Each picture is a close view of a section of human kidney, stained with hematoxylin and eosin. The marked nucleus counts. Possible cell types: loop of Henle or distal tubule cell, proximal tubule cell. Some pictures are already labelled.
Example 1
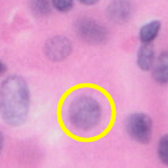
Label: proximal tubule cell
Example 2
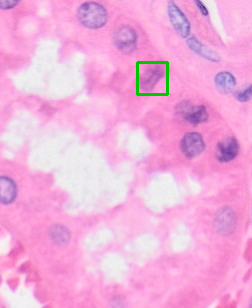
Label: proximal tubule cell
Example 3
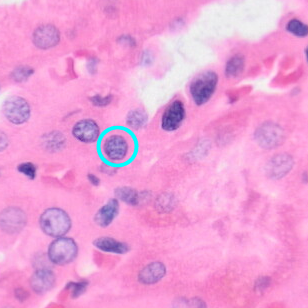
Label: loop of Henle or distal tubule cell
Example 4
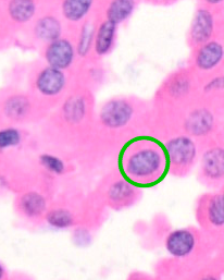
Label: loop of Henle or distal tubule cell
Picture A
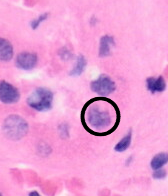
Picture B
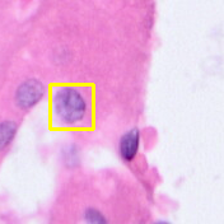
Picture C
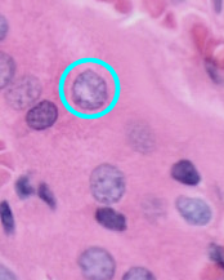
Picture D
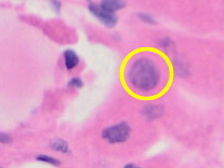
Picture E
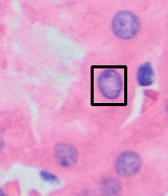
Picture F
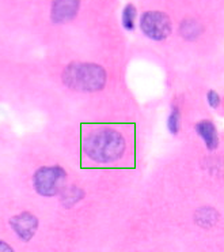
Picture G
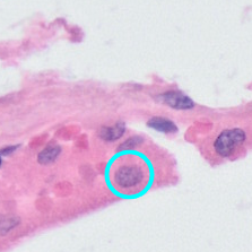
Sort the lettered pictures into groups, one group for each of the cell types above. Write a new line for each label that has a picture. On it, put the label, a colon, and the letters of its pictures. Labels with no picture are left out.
loop of Henle or distal tubule cell: A, B
proximal tubule cell: C, D, E, F, G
